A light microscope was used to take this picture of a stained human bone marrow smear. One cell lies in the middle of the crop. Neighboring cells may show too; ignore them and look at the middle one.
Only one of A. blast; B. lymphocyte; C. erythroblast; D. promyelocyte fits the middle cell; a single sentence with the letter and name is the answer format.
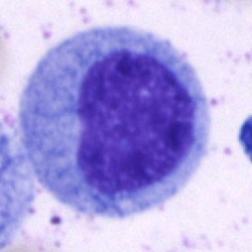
Since the cell in the middle is a promyelocyte, option D is correct.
